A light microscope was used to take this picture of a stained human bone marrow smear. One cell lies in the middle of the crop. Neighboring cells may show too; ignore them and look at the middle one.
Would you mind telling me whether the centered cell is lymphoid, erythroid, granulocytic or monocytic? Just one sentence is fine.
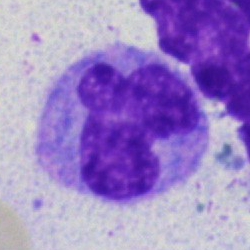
What the central cell belongs to is the monocytic lineage.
